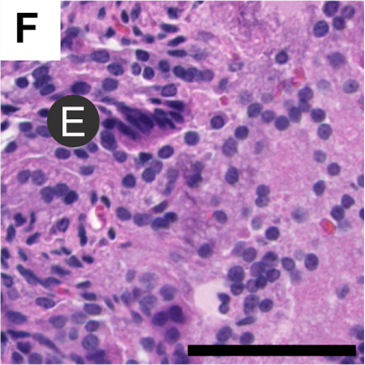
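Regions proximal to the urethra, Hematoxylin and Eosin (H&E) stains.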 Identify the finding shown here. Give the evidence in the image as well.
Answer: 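Epithelial disorganization. Round nuclei lie scattered without forming an orderly epithelial layer. No distinct line separates epithelium from surrounding tissue.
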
